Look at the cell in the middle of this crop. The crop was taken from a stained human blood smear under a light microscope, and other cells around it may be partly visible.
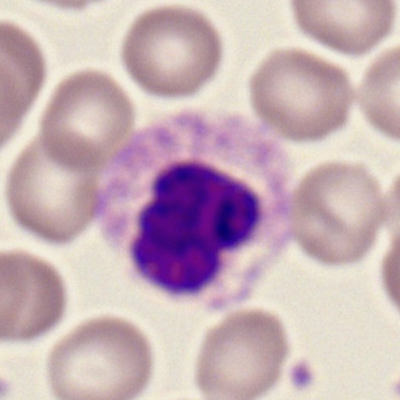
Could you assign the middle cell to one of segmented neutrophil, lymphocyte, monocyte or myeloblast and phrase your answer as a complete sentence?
This crop has a segmented neutrophil at its centre.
